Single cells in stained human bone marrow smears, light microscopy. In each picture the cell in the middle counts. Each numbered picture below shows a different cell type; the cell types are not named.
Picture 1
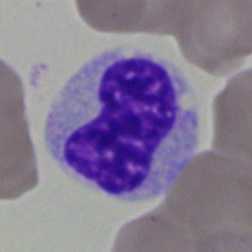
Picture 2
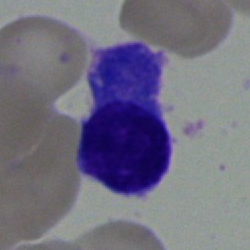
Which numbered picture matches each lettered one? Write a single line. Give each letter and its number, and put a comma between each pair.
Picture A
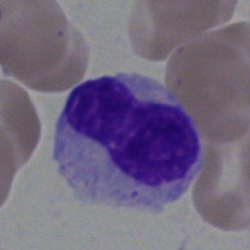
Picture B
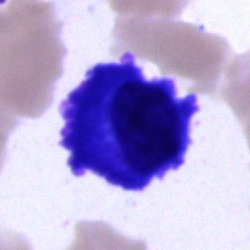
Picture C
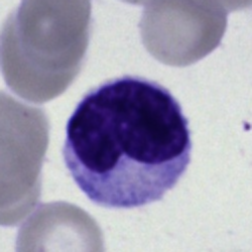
A 1, B 2, C 1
